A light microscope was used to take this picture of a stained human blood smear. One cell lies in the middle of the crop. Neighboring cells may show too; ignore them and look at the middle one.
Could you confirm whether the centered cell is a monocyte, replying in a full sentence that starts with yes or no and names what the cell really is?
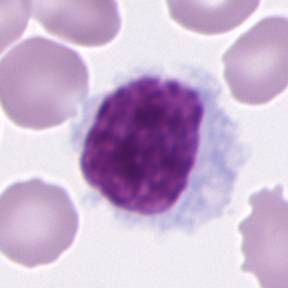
No, the cell placed at the center is a hairy cell rather than a monocyte.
